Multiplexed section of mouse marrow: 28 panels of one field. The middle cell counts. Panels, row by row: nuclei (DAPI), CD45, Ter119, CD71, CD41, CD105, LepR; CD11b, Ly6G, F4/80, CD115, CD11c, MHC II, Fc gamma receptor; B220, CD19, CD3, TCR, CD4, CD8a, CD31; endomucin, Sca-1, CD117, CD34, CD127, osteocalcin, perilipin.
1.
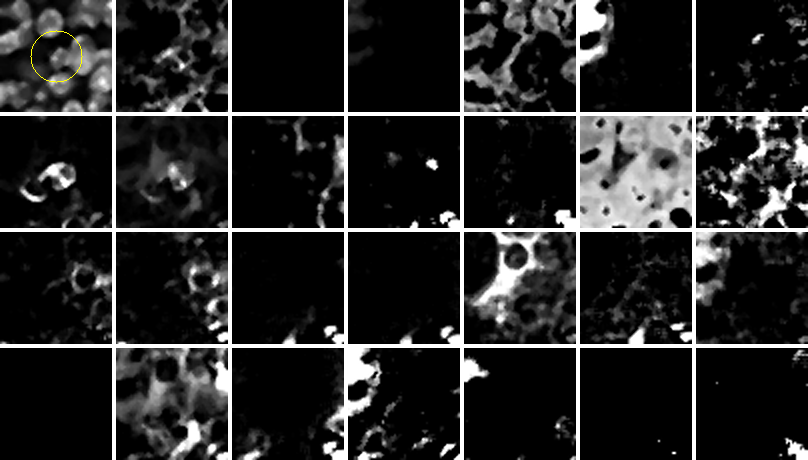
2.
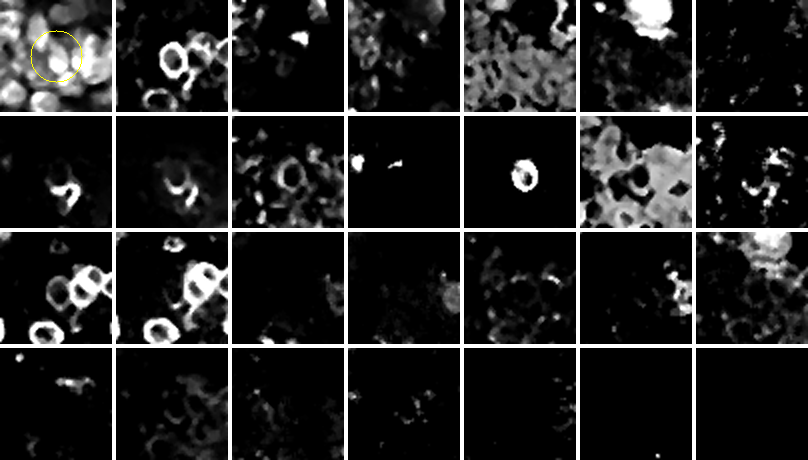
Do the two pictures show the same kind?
No: a neutrophil, then a conventional dendritic cell.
